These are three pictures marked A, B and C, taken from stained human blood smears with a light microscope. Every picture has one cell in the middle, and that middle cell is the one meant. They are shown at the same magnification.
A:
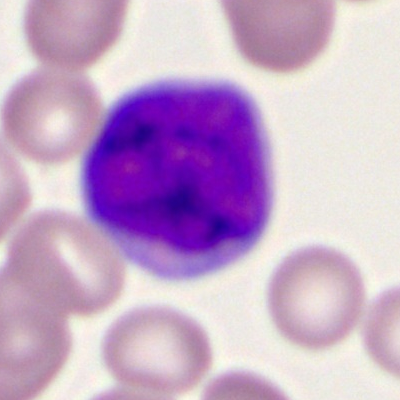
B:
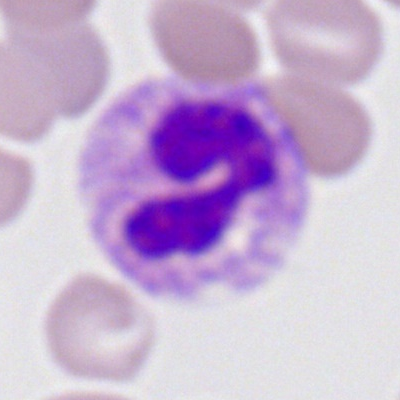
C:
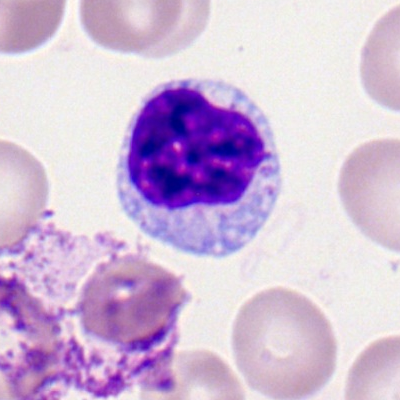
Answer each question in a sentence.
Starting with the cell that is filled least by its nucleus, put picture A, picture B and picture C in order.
They run B, C, A, the least filled first.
